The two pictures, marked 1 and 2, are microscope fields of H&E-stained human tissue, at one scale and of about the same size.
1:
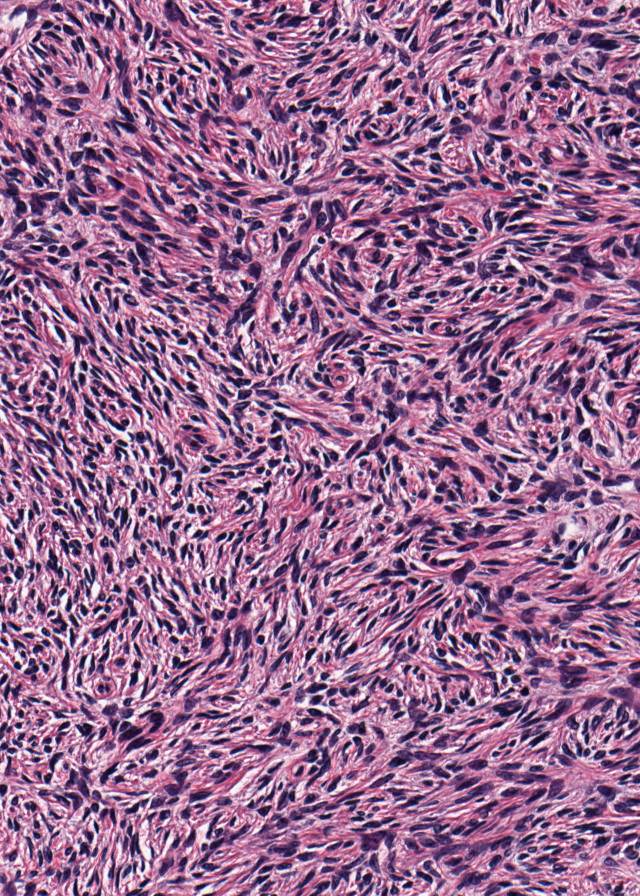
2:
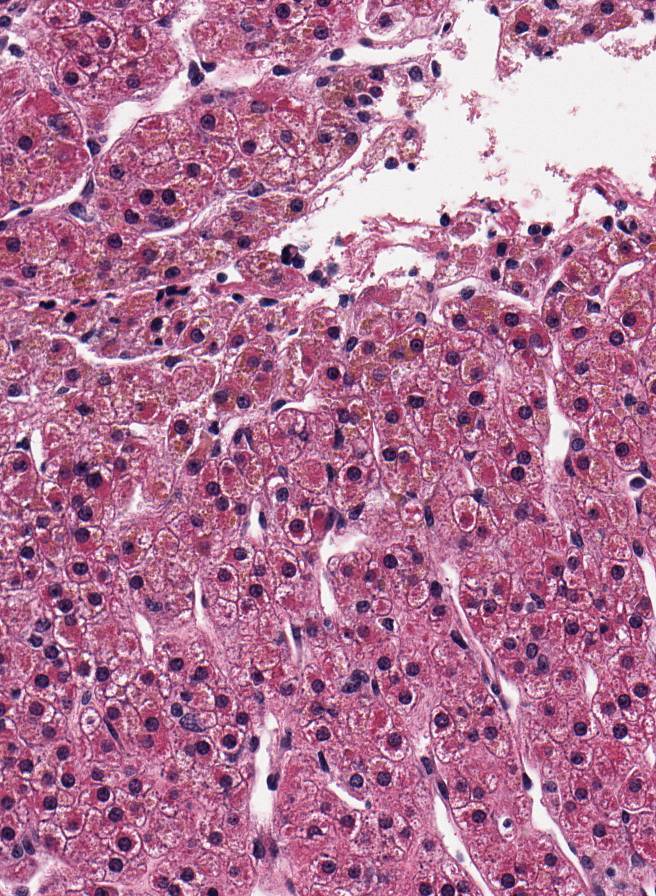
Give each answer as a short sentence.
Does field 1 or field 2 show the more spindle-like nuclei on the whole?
On the whole the nuclei of field 1 are more drawn out than those of field 2.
